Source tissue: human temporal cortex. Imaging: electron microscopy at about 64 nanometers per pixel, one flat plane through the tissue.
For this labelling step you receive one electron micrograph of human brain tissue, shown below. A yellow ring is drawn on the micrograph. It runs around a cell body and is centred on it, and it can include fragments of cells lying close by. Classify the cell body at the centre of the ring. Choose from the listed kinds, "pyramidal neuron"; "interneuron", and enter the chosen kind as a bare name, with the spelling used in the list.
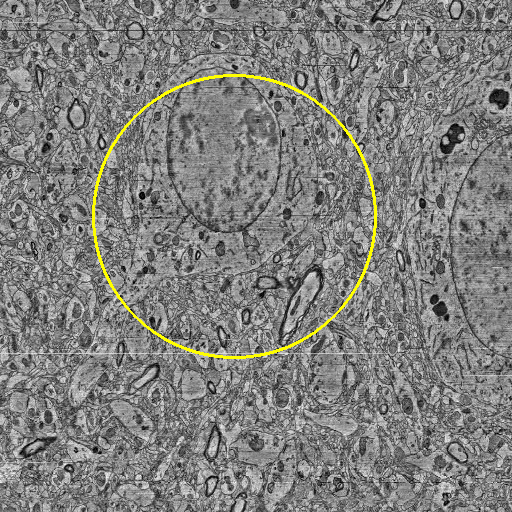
pyramidal neuron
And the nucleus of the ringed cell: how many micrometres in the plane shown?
Roughly 11 by 7 micrometres; in this plane, clearly longer than it is wide.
